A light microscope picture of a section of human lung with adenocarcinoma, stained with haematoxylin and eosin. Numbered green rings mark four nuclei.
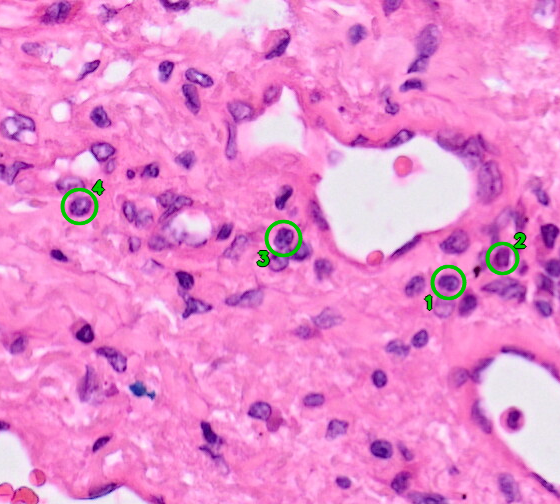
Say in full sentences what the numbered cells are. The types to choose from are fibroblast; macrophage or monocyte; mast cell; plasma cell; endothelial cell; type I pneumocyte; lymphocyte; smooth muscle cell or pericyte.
Cells 1 and 3 are lymphocytes. Cell 2 is a plasma cell. Cell 4 is a mast cell.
